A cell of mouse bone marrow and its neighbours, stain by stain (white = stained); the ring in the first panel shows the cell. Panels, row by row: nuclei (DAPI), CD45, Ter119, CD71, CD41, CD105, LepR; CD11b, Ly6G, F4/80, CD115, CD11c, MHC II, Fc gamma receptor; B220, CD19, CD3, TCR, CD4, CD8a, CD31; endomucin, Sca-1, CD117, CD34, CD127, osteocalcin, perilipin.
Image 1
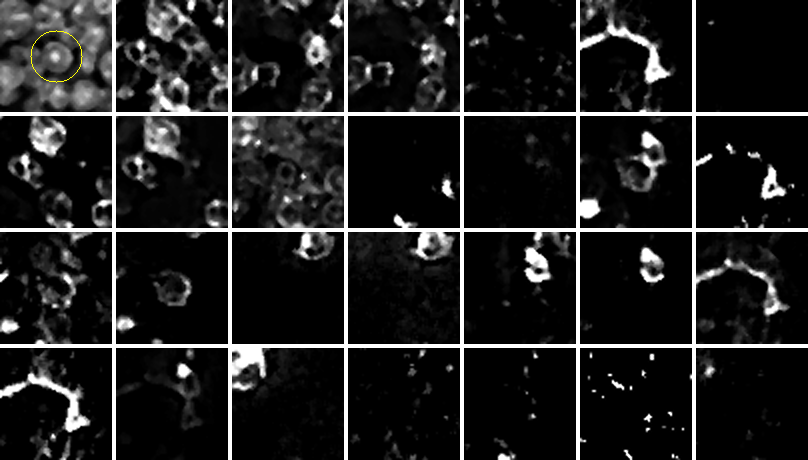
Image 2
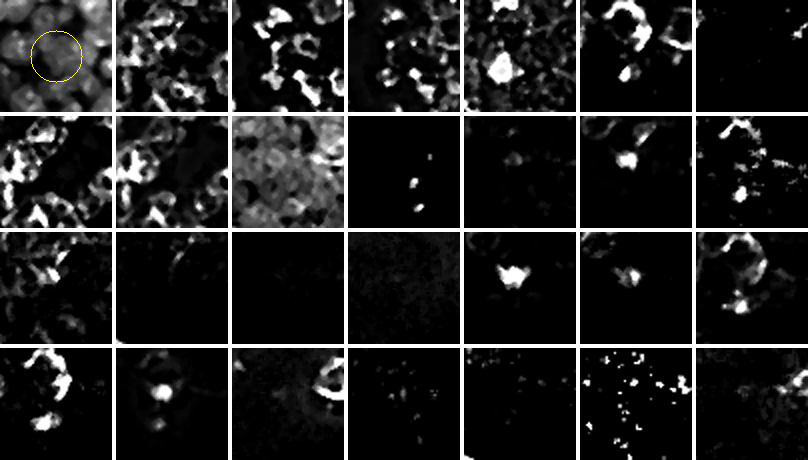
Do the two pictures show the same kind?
Yes, both are capillary endothelial cells.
